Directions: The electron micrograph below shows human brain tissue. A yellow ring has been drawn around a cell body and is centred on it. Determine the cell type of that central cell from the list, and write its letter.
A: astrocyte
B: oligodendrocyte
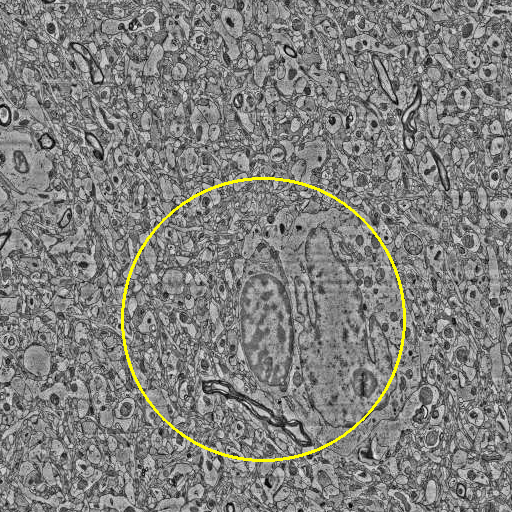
B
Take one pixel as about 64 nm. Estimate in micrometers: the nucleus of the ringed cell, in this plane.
At approximately 7 by 3 micrometres, the nucleus is clearly longer than it is wide in this plane.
